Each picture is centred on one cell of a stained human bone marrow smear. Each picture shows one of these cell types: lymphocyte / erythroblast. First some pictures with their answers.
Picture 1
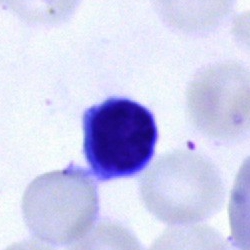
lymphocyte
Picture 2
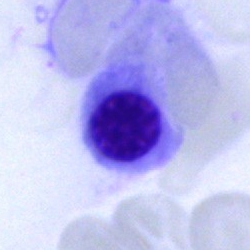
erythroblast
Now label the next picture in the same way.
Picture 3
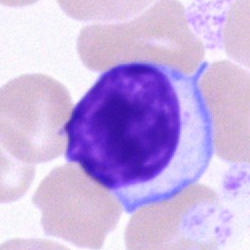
lymphocyte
